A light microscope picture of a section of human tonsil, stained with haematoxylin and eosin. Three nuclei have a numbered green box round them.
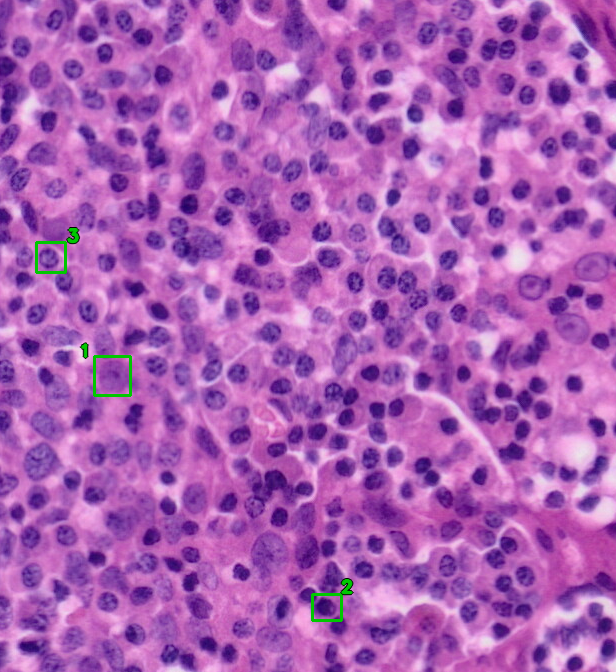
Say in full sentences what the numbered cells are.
Cell 1 is a squamous epithelial cell. Cells 2 and 3 are plasma cells.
